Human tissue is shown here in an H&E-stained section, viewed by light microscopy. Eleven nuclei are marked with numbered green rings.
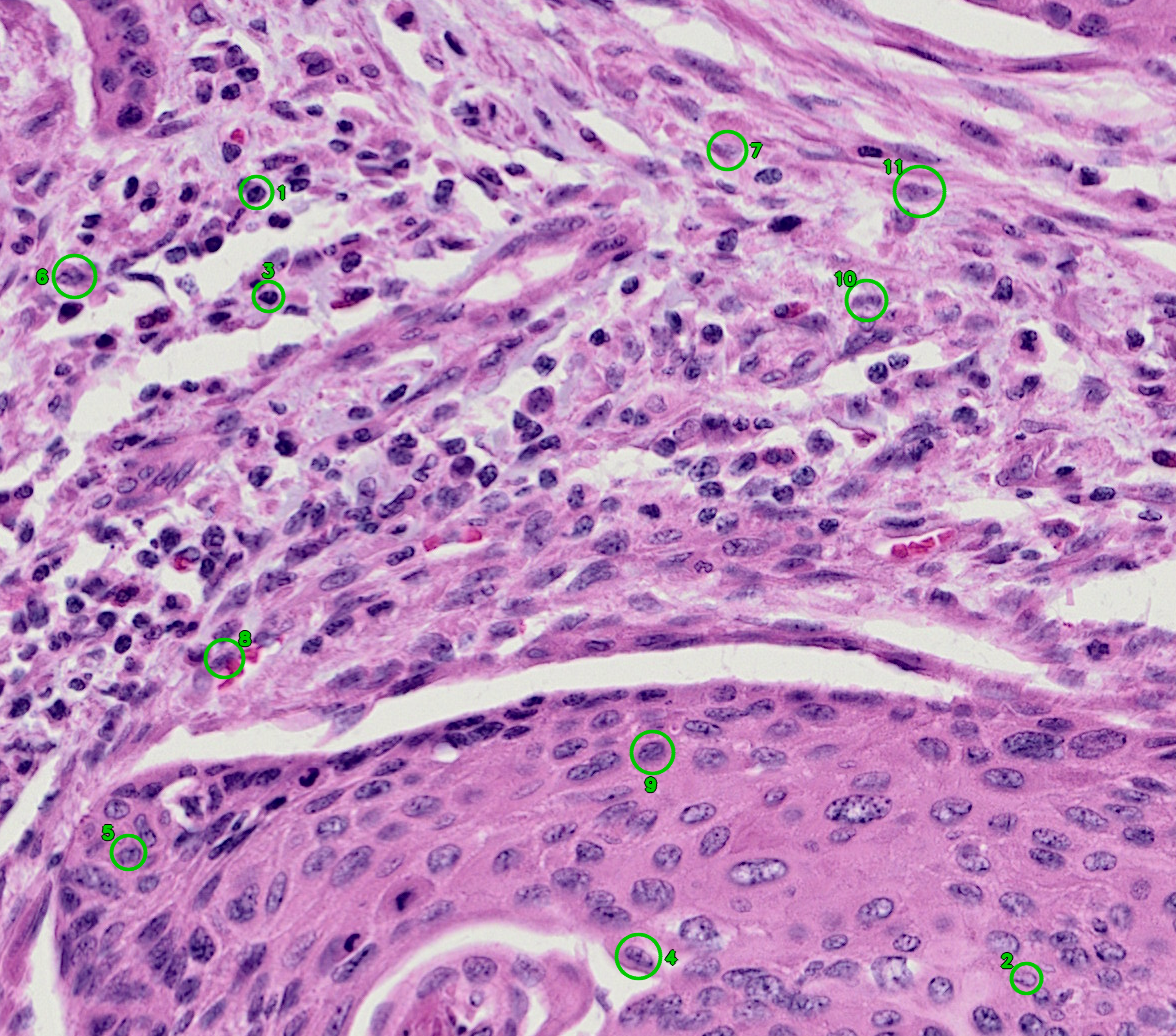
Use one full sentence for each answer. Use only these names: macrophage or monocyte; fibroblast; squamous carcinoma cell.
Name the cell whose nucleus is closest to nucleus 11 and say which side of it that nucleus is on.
A macrophage or monocyte lies closest, below and to the left of nucleus 11.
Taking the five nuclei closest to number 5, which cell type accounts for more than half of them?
Of the five nuclei nearest to number 5, most belong to squamous carcinoma cells.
